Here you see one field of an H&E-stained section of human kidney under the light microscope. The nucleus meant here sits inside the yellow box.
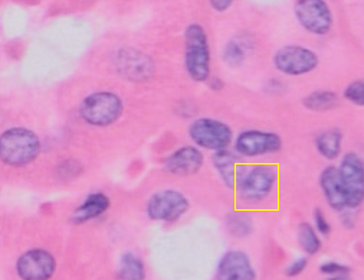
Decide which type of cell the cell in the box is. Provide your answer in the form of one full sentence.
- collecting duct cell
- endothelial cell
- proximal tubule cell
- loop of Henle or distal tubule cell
In this preparation, the cell in the box is a collecting duct cell.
